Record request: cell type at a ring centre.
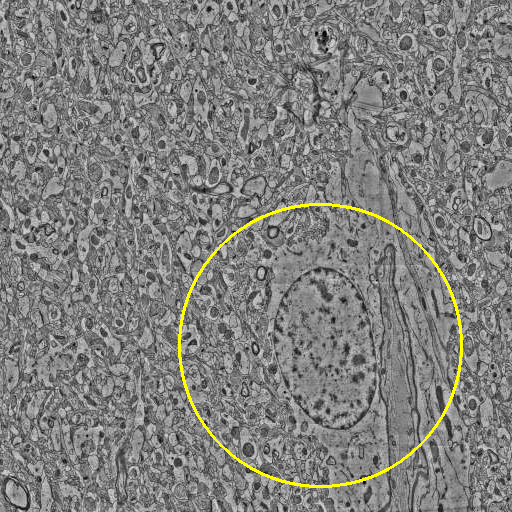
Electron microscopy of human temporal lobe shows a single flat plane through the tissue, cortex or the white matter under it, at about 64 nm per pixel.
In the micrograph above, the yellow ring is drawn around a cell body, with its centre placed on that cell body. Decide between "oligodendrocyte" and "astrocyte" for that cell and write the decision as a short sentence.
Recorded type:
The cell centred in the yellow ring is an astrocyte.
